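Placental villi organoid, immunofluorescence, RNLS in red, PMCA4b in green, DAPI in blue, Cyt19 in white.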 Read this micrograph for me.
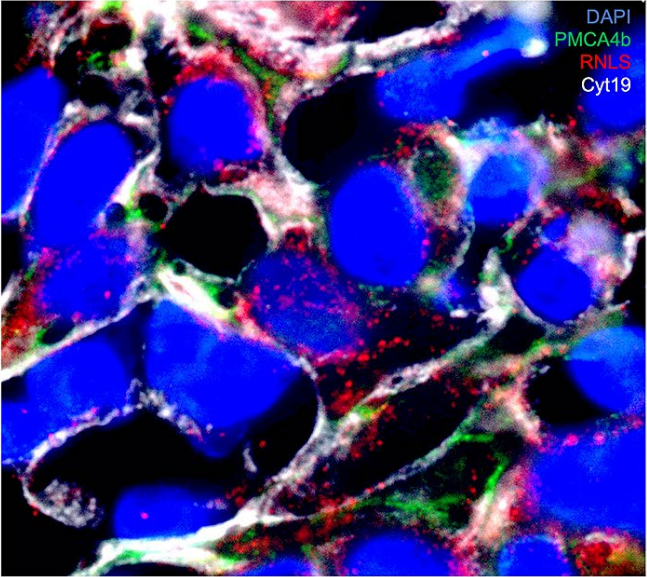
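Bright white strands outline the cells and form a network along their borders, with some dark spaces opening between groups of cells. Many fine red dots are spread through the cytoplasm, thickest in some cells. Green lines follow parts of the cell borders, often running beside or merging with the white. The cells lie in a compact, epithelium-like arrangement without a clear layering.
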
